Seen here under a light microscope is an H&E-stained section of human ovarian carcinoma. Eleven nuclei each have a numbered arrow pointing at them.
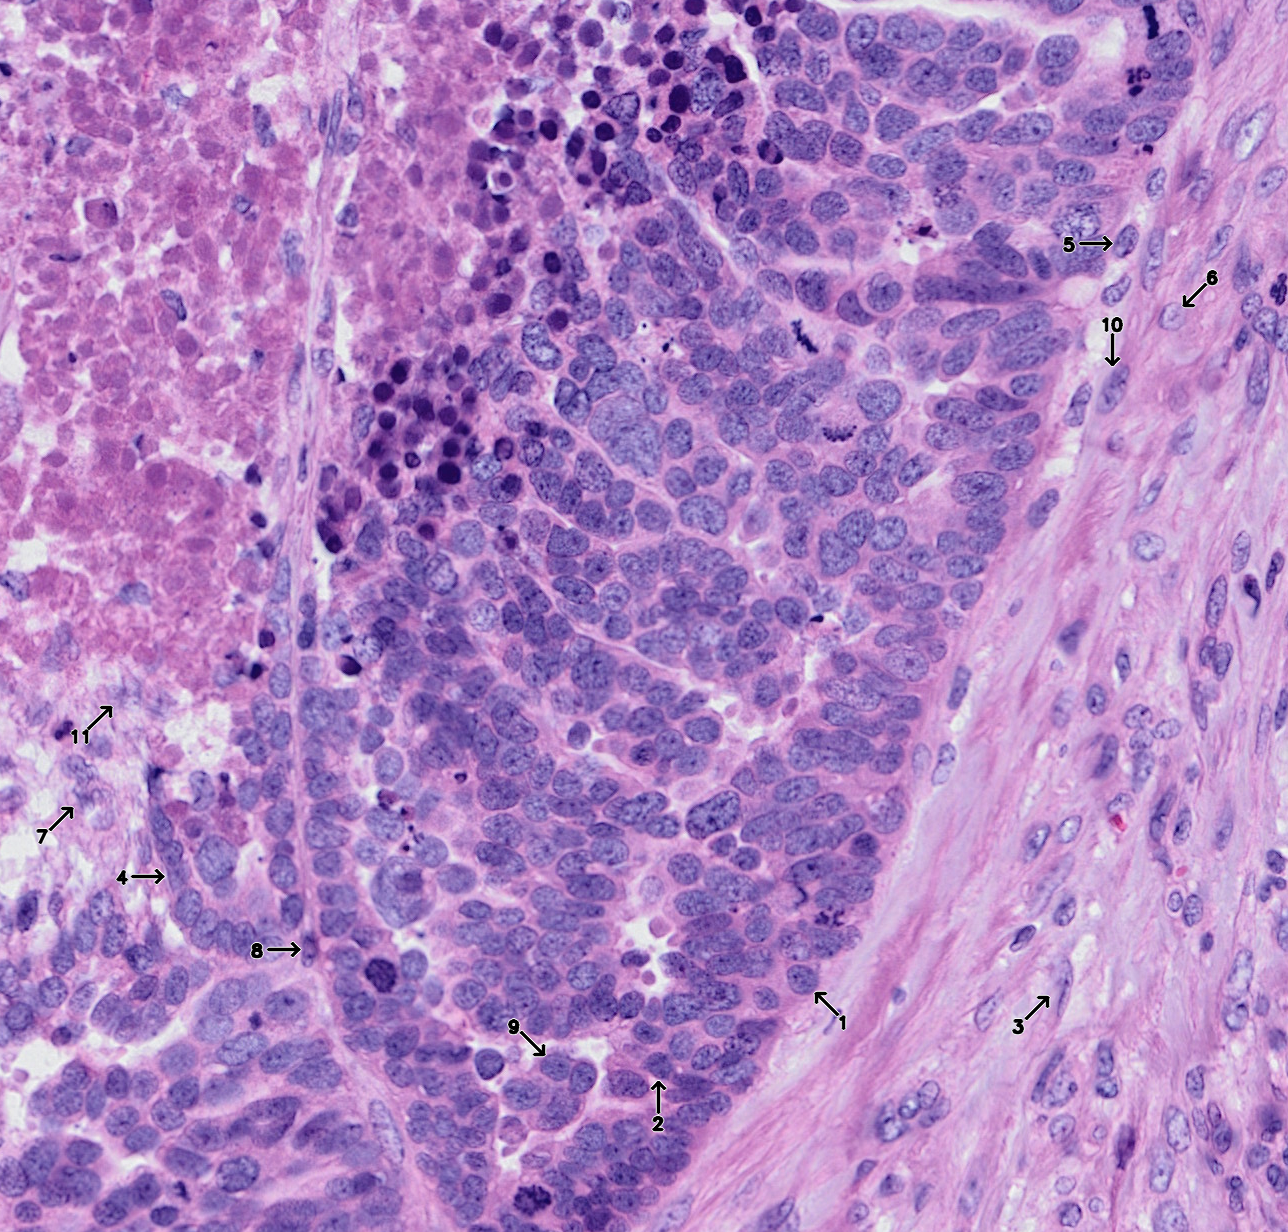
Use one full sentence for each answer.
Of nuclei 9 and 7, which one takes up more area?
Nucleus 9 covers more area, about 1.5 times as much as nucleus 7.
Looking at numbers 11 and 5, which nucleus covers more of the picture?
Nucleus 11 is the larger one, covering about 1.5 times the area of nucleus 5.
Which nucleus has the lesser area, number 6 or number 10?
Nucleus 6 covers less area, with nucleus 10 about 1.5 times as large.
